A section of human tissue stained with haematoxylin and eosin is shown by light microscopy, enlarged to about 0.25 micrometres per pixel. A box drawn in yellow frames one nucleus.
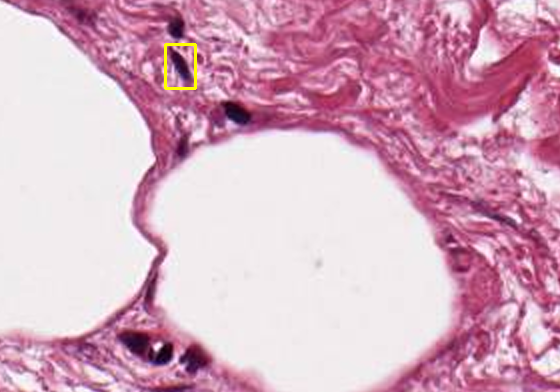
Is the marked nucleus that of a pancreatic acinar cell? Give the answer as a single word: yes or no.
no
